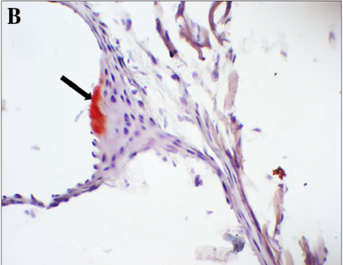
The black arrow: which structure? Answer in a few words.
Fatty streak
